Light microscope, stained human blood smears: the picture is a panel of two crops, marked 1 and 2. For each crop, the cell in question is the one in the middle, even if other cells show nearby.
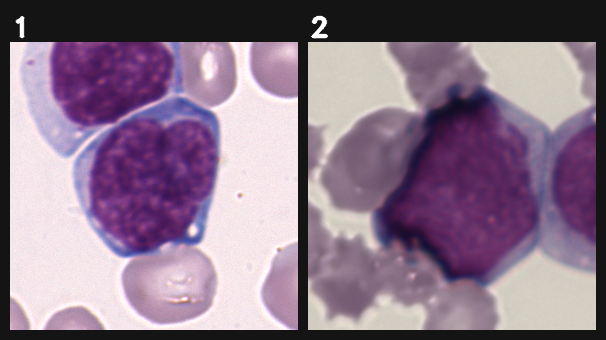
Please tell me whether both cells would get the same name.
yes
